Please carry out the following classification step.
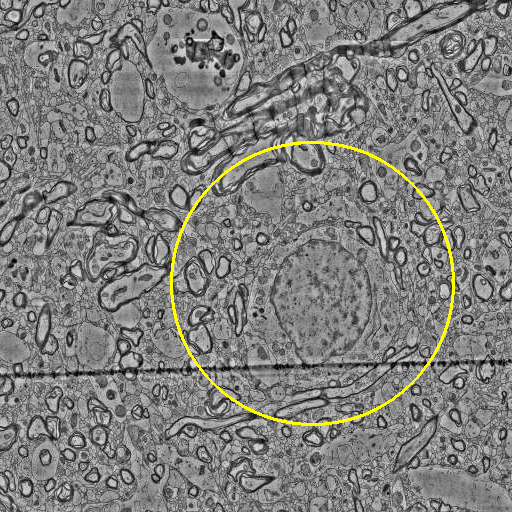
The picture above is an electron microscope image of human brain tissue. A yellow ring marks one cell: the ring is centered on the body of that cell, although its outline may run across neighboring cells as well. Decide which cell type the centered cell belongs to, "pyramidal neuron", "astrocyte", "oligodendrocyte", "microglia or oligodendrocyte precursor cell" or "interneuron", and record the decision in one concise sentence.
The cell centered in the yellow ring is an interneuron.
